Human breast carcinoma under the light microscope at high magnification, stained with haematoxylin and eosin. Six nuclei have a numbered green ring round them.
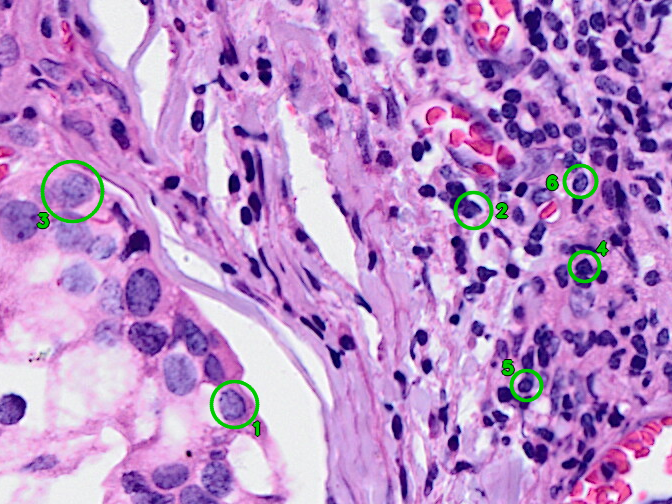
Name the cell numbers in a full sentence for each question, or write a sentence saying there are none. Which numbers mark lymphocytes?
So, the cells with numbers 2, 4, 5 and 6 are lymphocytes.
